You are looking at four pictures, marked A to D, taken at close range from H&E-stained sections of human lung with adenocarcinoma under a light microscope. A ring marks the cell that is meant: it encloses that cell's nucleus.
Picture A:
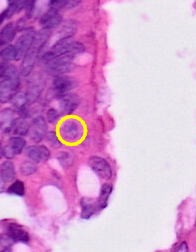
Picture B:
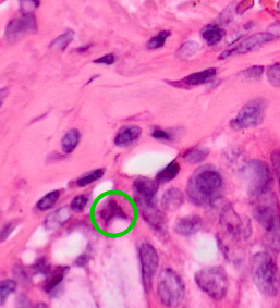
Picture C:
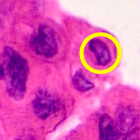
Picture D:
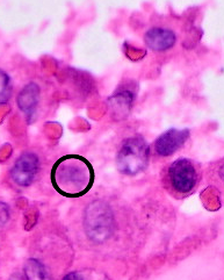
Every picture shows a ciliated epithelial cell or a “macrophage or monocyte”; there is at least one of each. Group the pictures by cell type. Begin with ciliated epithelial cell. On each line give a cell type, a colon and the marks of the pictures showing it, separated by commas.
ciliated epithelial cell: A, B
macrophage or monocyte: C, D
